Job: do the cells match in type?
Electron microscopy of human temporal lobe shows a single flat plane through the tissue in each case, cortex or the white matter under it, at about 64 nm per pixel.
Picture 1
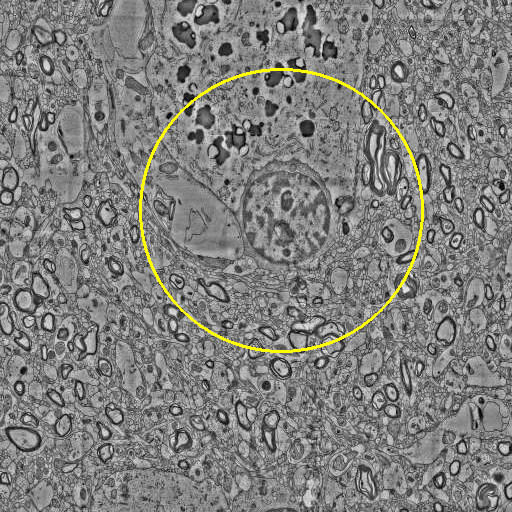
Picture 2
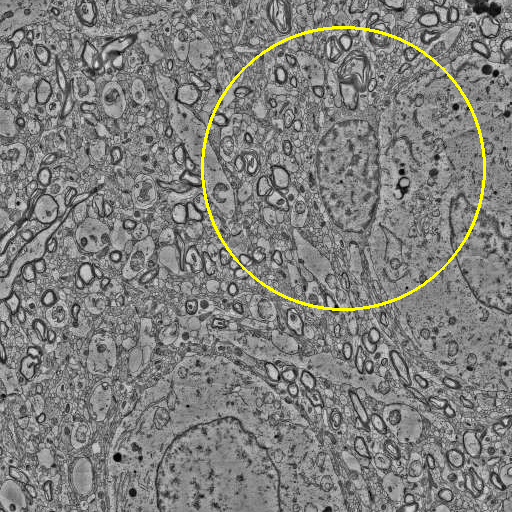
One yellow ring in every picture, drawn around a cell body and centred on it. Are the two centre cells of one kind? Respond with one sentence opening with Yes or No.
Yes, the ringed cells in the two pictures are of one and the same kind.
